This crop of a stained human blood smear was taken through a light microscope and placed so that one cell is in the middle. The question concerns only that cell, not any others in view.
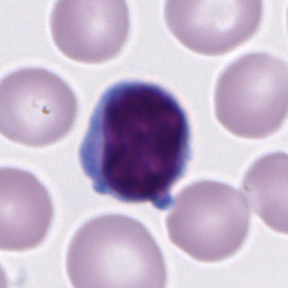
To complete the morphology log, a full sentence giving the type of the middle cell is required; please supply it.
The single cell at the center of the crop is a lymphocyte.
